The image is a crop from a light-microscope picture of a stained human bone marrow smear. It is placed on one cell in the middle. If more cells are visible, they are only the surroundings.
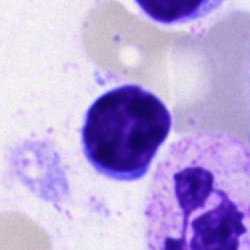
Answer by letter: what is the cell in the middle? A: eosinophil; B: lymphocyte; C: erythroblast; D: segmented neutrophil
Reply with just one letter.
B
